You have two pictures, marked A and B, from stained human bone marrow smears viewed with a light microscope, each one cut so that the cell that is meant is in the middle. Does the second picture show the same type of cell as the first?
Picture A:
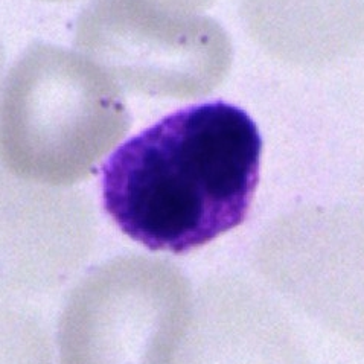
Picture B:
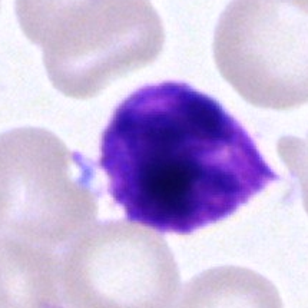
yes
